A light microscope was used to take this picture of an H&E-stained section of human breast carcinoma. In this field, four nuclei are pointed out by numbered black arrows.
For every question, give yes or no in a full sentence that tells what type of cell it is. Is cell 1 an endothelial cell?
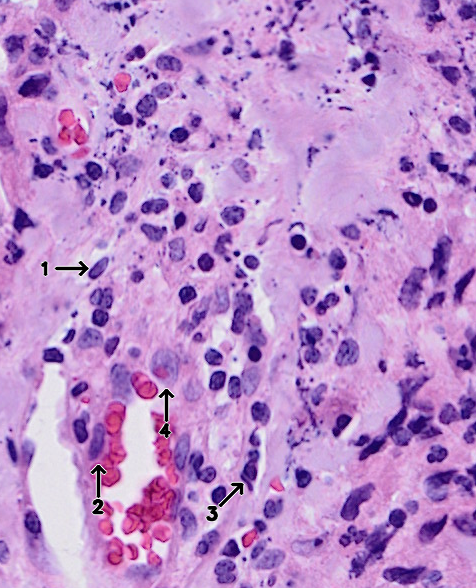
No, cell 1 does not represent an endothelial cell; it represents a lymphocyte.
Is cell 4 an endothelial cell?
Yes, the cell whose nucleus carries number 4 is an endothelial cell.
